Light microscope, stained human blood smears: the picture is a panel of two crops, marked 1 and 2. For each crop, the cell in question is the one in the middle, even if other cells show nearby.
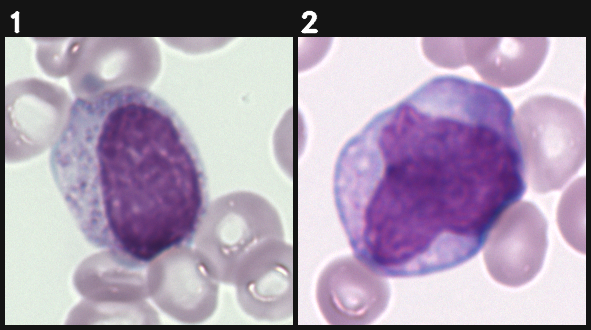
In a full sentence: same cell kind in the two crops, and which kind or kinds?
No, in crop 1 the cell is a myelocyte, and in crop 2 it is an atypical promyelocyte.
